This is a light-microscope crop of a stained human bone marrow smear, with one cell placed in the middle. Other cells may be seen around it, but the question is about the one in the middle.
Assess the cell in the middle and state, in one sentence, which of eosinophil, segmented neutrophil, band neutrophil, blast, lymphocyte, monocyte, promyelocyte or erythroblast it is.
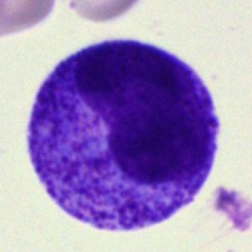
The cell at the middle of the frame should be recorded as a promyelocyte.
